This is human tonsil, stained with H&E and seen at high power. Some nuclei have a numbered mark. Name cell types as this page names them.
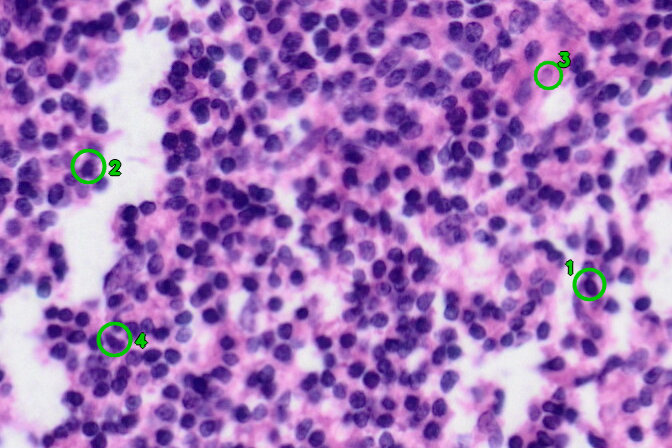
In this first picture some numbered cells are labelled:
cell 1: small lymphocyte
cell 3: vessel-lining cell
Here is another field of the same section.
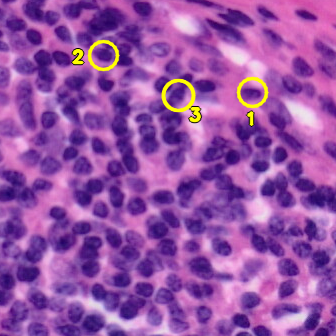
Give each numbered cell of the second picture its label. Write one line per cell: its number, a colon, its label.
1: vessel-lining cell
2: small lymphocyte
3: small lymphocyte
